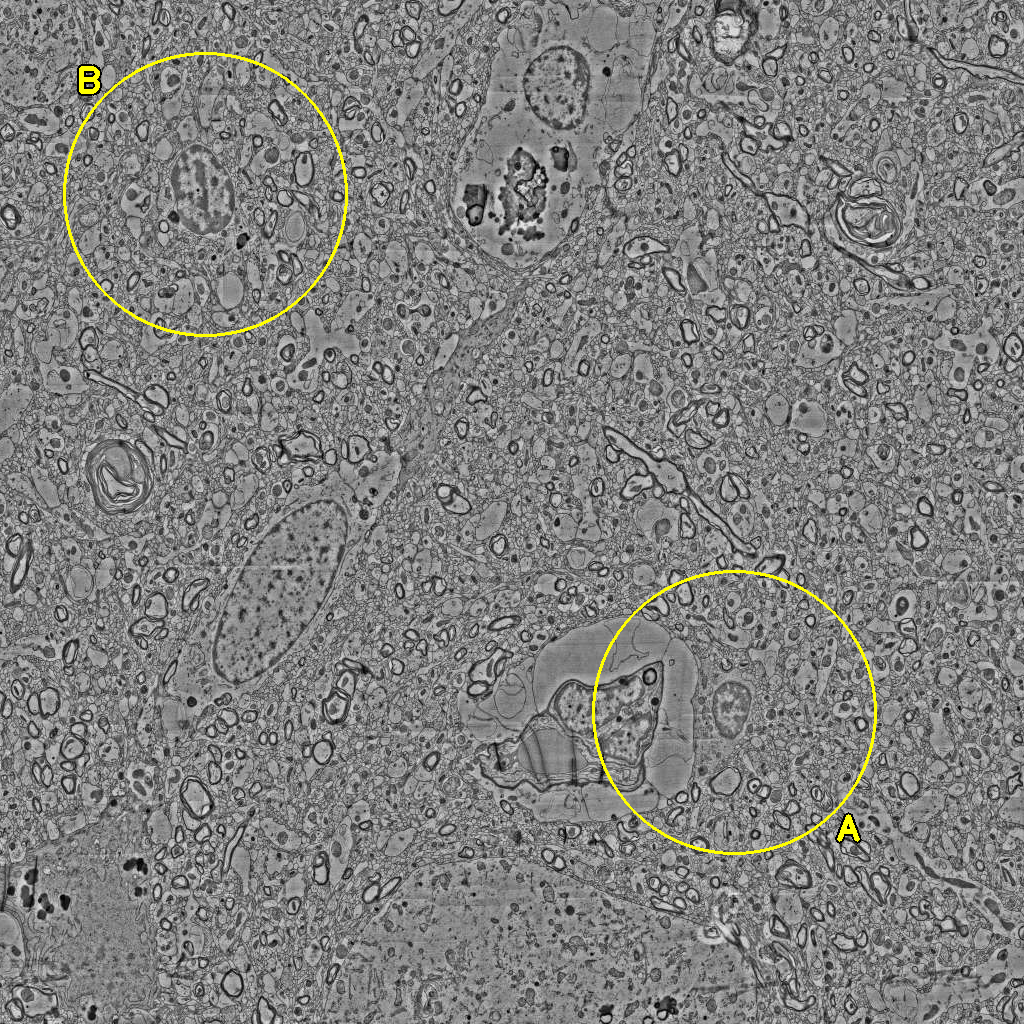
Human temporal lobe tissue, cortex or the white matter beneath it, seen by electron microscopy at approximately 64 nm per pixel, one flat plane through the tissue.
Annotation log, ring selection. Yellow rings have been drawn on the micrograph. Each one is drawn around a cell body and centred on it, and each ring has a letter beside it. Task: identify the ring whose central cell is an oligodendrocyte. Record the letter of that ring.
A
